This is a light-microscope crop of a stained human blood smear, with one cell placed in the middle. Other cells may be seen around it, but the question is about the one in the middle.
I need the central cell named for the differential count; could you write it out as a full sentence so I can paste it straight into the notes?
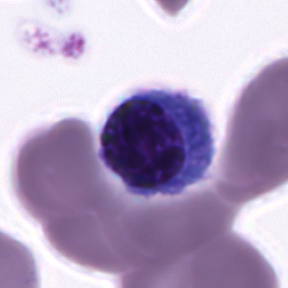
Seen at the centre of the crop is a plasma cell.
